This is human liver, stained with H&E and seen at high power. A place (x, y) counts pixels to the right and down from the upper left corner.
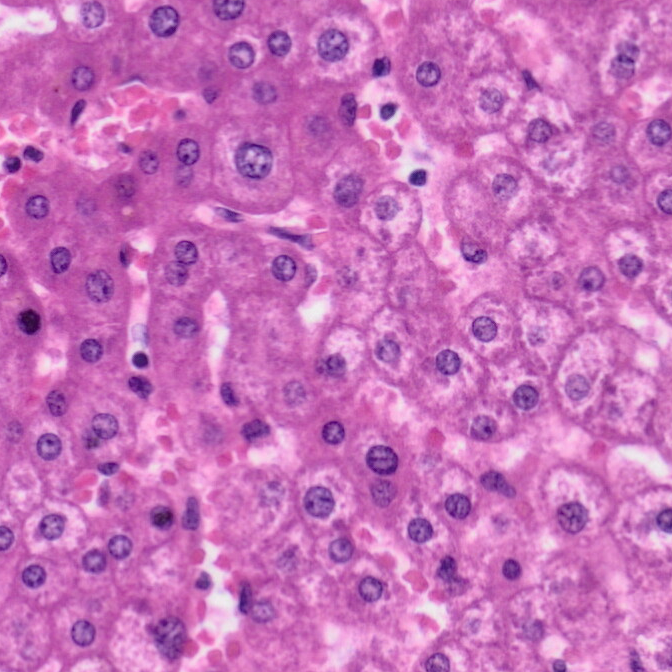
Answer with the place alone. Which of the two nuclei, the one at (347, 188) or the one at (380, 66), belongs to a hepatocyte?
(347, 188)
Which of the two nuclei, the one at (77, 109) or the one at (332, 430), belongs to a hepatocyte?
(332, 430)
